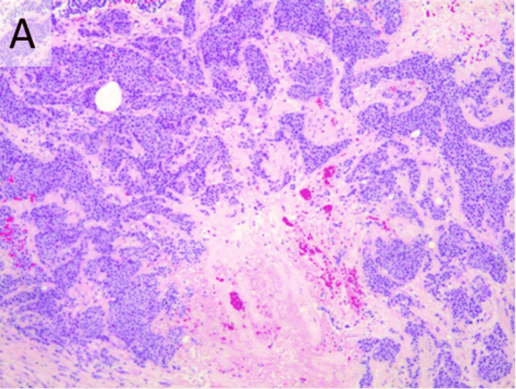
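This is an invasive carcinoma: crowded epithelial tumor cells with dark purple nuclei form irregular nests, cords and broad anastomosing islands that infiltrate a pale pink fibrous stroma. The islands have ragged, angular outlines and are separated by bands of loose to dense connective tissue. No orderly glandular units such as ducts or lobules are recognisable, and no lymphoid tissue is seen. Toward the lower middle the stroma is paler and contains scattered bright red clumps, likely blood. A small clear round space sits within a tumor island near the top.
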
